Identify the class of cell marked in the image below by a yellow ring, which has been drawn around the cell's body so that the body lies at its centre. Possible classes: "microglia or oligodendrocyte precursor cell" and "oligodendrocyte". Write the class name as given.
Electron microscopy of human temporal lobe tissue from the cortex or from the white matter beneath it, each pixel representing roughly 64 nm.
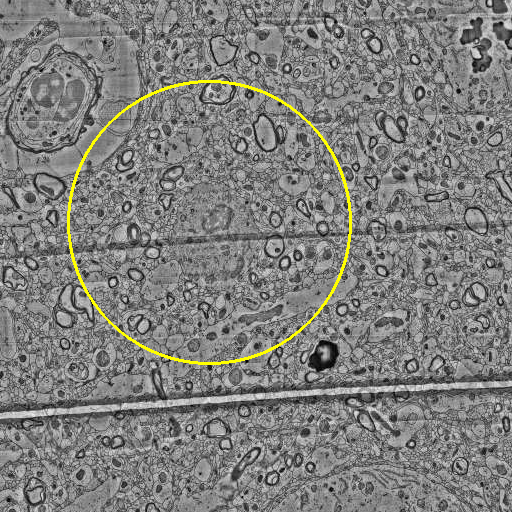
oligodendrocyte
